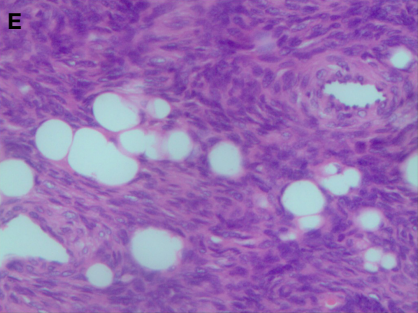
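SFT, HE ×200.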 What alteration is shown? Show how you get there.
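Lipomatous differentiation. Many round, empty, clear vacuoles of varying size among the cells. Densely packed spindle-ovoid cells surround the vacuoles.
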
